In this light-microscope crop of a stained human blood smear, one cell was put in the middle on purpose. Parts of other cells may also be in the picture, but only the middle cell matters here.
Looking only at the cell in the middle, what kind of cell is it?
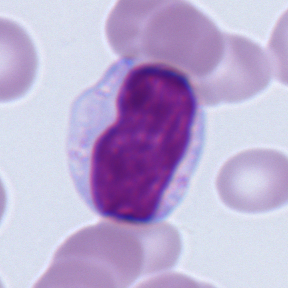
large granular lymphocyte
